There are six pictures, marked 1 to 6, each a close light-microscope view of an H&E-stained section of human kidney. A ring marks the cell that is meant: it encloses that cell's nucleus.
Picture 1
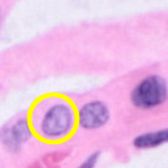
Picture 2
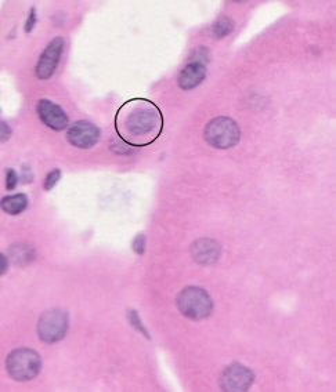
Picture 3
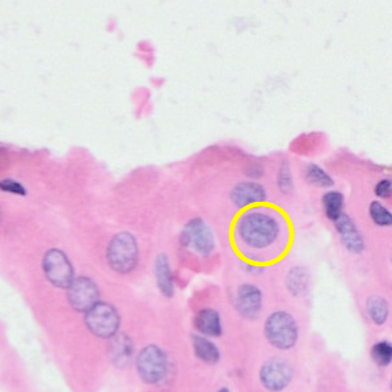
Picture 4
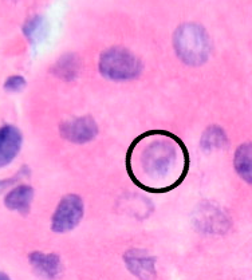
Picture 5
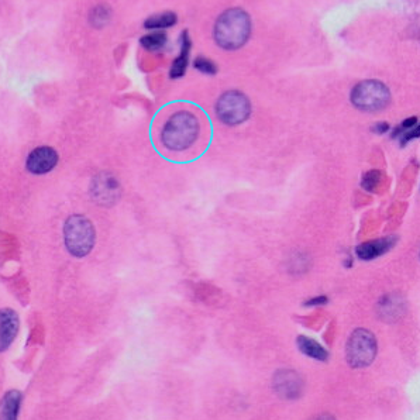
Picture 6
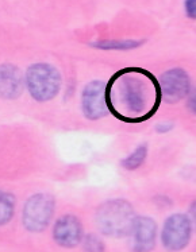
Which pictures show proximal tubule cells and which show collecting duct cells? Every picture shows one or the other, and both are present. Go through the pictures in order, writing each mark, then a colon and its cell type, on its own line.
1: collecting duct cell
2: collecting duct cell
3: collecting duct cell
4: proximal tubule cell
5: proximal tubule cell
6: collecting duct cell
